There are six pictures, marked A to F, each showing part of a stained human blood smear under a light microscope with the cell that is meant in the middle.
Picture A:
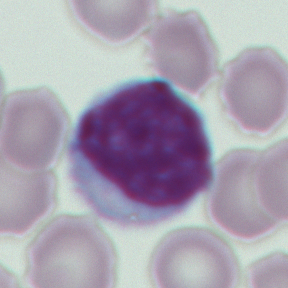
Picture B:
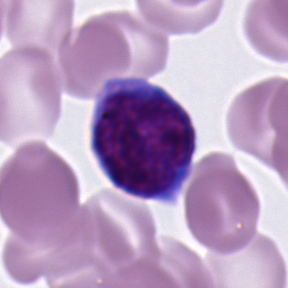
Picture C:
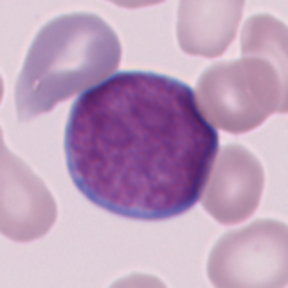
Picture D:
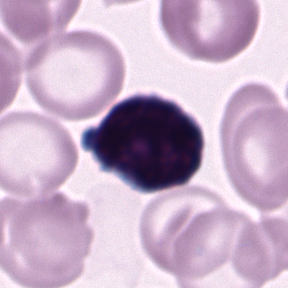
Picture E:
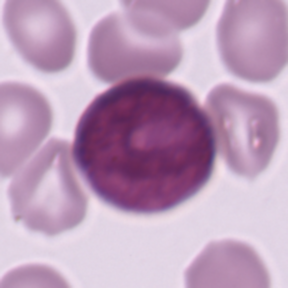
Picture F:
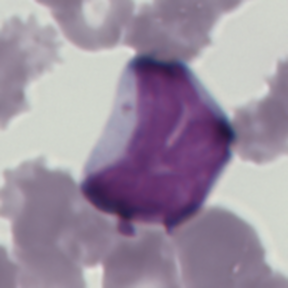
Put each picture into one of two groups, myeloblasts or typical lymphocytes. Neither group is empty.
A: typical lymphocyte
B: typical lymphocyte
C: myeloblast
D: typical lymphocyte
E: myeloblast
F: myeloblast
